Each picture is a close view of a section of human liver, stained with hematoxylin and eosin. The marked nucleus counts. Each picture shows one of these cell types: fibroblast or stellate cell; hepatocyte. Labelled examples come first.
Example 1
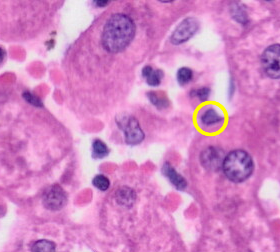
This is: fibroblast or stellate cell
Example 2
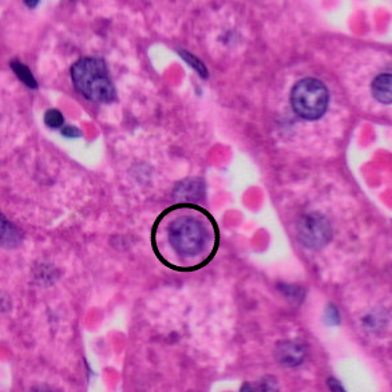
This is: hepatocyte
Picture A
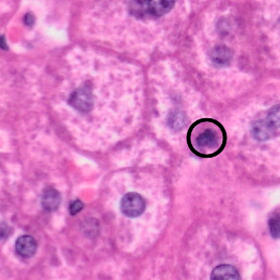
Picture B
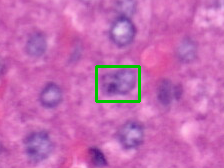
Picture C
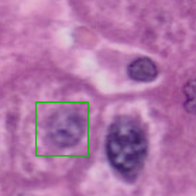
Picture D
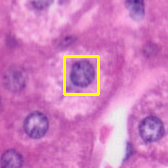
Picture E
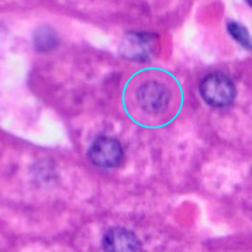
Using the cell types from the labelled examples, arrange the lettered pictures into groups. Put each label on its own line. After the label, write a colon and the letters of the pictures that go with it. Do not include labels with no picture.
fibroblast or stellate cell: A
hepatocyte: B, C, D, E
